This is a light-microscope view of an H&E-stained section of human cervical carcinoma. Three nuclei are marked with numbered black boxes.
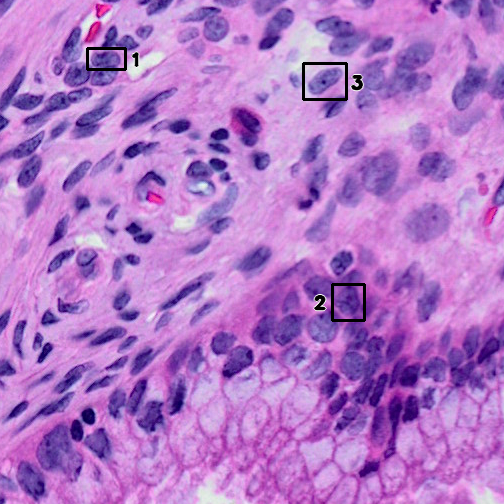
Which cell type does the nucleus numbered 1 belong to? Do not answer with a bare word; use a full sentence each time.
The label 1 in this section denotes an endothelial cell.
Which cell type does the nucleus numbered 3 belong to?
As for number 3, that cell is a fibroblast.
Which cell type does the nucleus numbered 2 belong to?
It is as a secretory epithelial cell that the cell numbered 2 is identified.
